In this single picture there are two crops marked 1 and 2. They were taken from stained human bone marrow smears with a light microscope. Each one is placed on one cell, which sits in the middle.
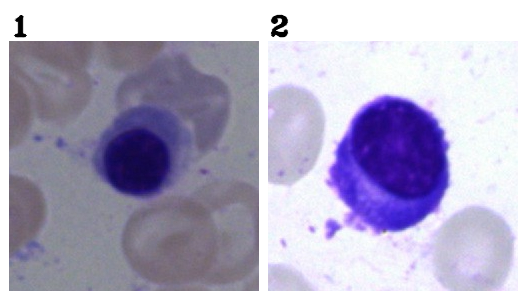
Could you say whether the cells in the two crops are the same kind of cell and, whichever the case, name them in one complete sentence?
No, look again: crop 1 shows an erythroblast, and crop 2 shows a plasma cell.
